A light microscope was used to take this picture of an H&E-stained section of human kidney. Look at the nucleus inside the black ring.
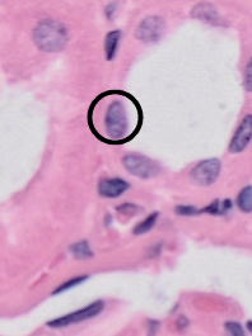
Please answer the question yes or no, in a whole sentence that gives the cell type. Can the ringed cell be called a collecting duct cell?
No, rather than being a collecting duct cell, the ringed cell is a loop of Henle or distal tubule cell.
